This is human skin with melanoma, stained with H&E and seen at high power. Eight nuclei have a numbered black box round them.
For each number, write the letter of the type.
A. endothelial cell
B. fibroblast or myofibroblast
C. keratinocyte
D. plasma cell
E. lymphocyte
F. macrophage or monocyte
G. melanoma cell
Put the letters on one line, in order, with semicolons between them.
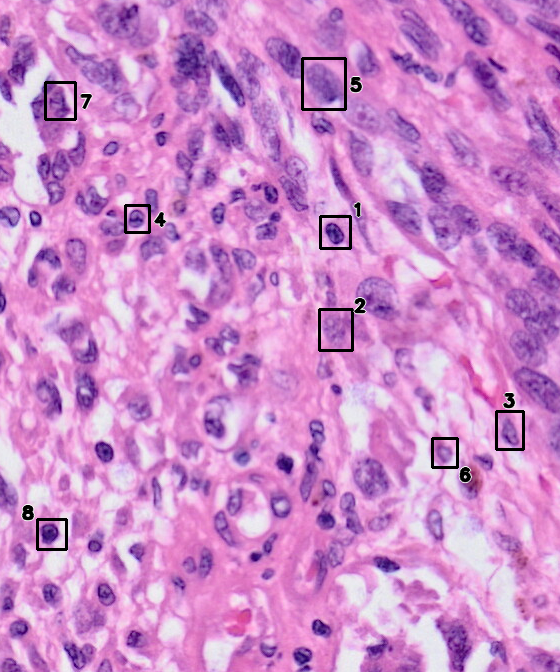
E; G; F; E; G; F; G; E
